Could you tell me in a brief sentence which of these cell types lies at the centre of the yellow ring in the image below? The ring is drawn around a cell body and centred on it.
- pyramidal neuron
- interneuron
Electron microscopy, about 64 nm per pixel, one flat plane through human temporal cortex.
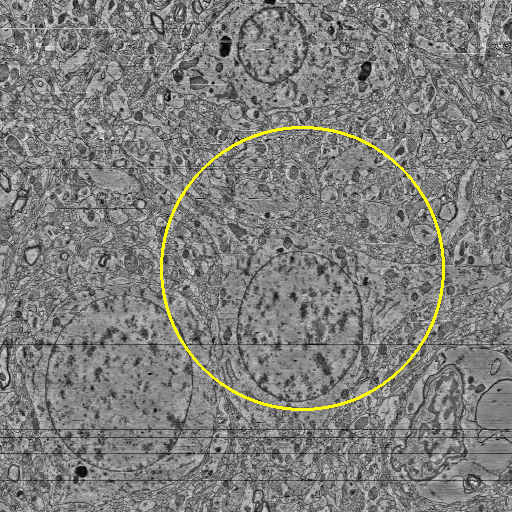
The cell centred in the ring is a pyramidal neuron.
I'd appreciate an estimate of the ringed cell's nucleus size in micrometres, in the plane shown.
The nucleus appears roughly 10 by 8 micrometres in this plane.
